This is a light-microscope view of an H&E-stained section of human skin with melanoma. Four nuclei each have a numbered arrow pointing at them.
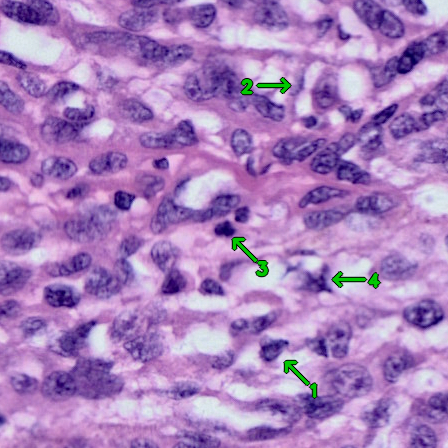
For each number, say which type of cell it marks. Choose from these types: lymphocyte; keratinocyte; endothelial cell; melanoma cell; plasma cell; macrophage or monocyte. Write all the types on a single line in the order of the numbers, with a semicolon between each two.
melanoma cell; melanoma cell; lymphocyte; melanoma cell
